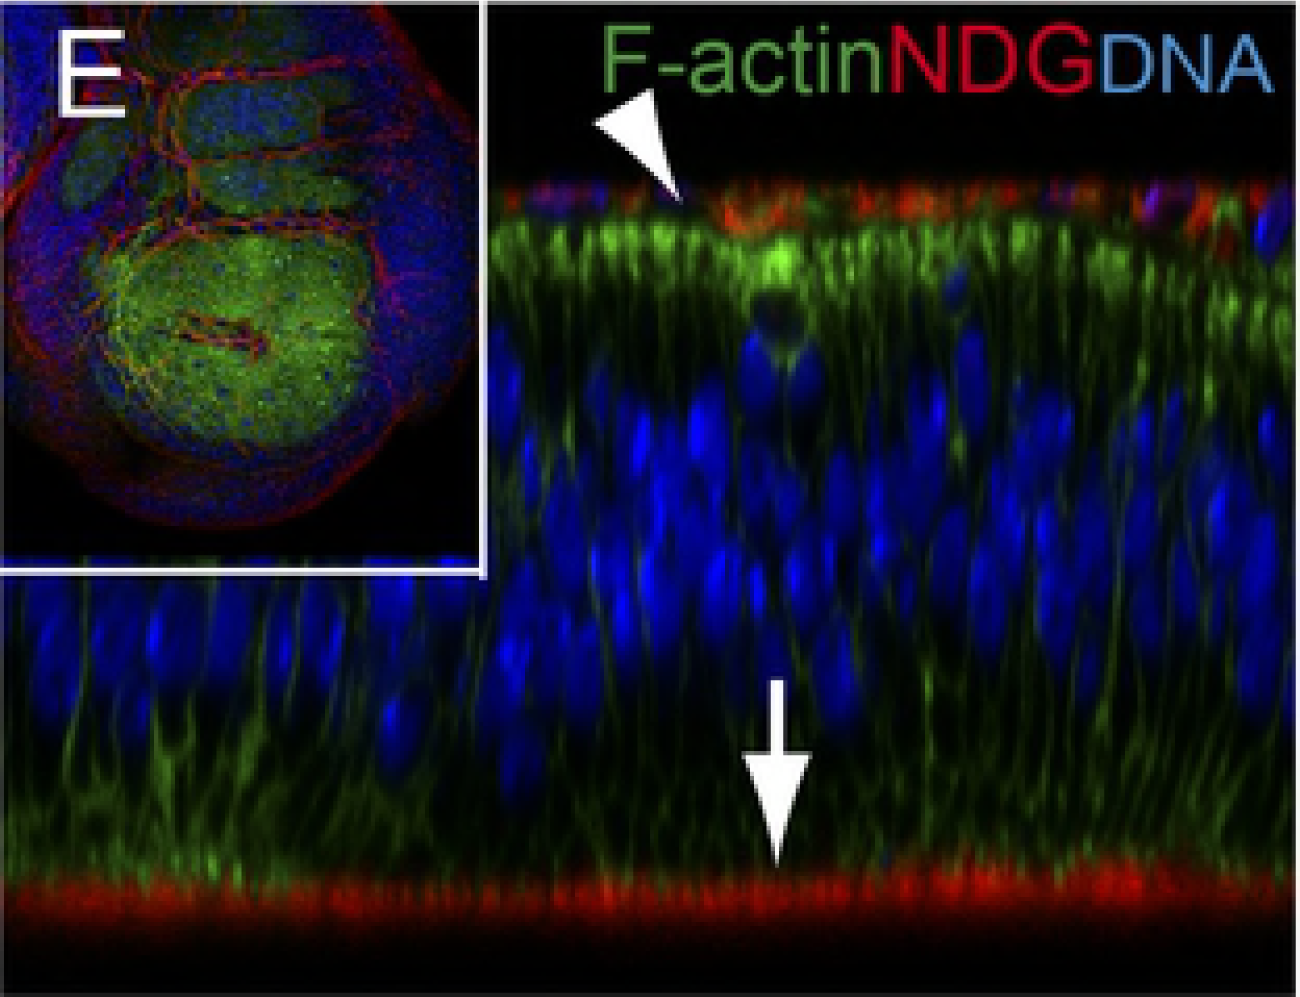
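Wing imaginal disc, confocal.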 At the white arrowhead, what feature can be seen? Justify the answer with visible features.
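Peripodial membrane. The arrowhead points at a thin flat cell layer lying on top of the tall columnar epithelium. This thin layer carries red and blue signal.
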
